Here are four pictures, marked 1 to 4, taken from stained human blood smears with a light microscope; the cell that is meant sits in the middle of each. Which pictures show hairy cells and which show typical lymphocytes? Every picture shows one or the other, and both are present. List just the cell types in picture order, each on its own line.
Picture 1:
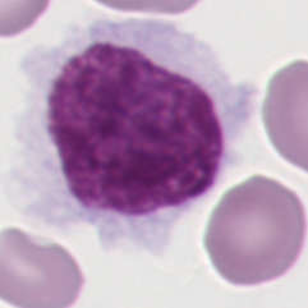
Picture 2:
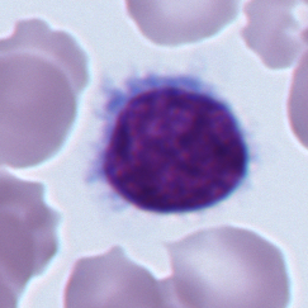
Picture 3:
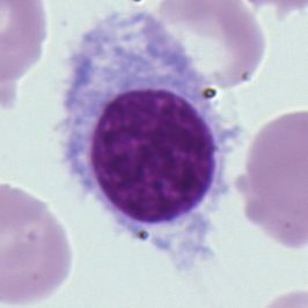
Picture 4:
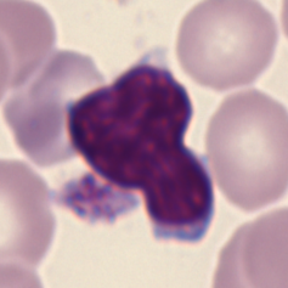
hairy cell
hairy cell
hairy cell
typical lymphocyte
